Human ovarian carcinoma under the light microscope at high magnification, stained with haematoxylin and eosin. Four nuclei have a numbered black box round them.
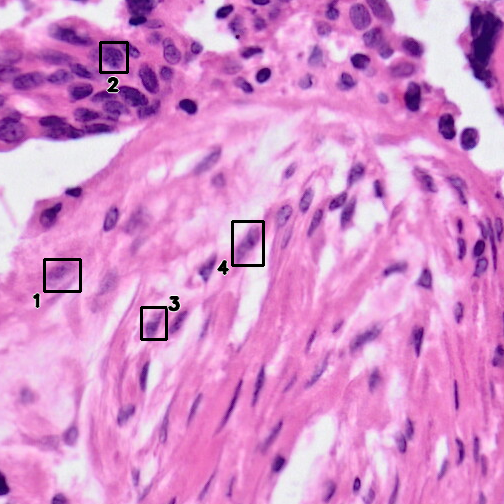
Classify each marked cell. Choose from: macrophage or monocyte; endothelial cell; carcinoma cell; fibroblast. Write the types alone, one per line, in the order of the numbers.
fibroblast
carcinoma cell
fibroblast
fibroblast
